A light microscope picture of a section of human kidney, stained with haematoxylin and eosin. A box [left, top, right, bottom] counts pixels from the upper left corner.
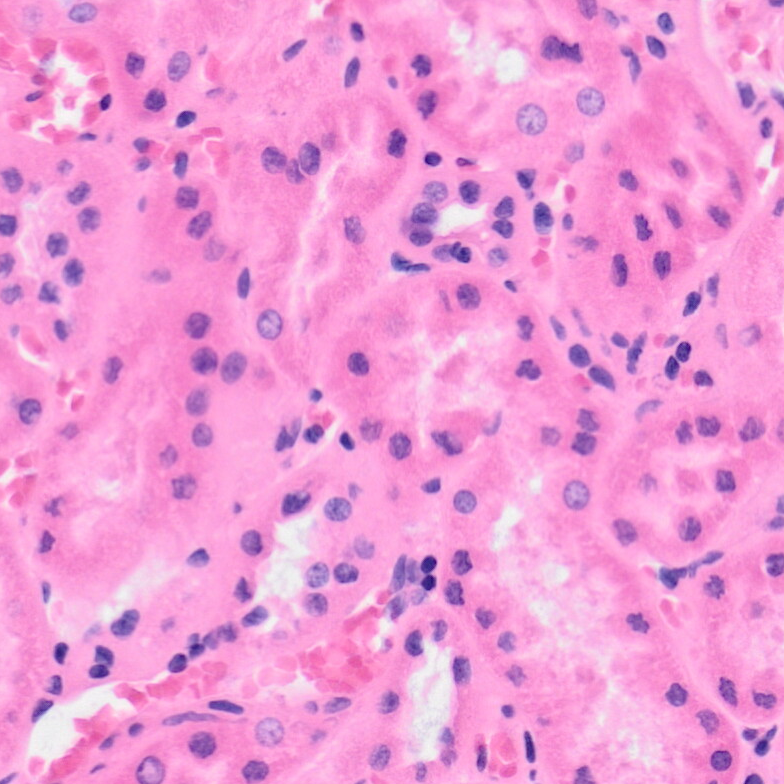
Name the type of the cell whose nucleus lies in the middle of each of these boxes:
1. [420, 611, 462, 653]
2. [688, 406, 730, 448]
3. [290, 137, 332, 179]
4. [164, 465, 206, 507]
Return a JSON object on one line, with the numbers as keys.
{"1": "loop of Henle or distal tubule cell", "2": "proximal tubule cell", "3": "proximal tubule cell", "4": "proximal tubule cell"}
